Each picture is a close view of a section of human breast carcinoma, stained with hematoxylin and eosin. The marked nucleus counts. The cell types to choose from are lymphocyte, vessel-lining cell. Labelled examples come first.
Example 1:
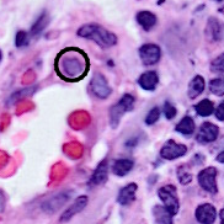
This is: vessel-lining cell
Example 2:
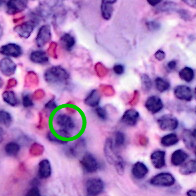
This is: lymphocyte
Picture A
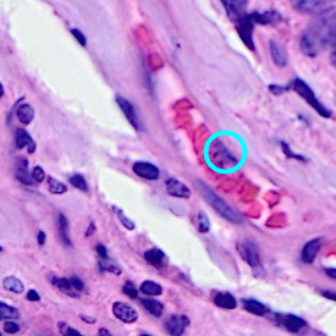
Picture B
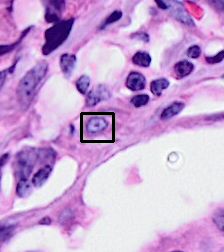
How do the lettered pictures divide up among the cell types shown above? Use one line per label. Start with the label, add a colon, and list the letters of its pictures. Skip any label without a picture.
vessel-lining cell: A, B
